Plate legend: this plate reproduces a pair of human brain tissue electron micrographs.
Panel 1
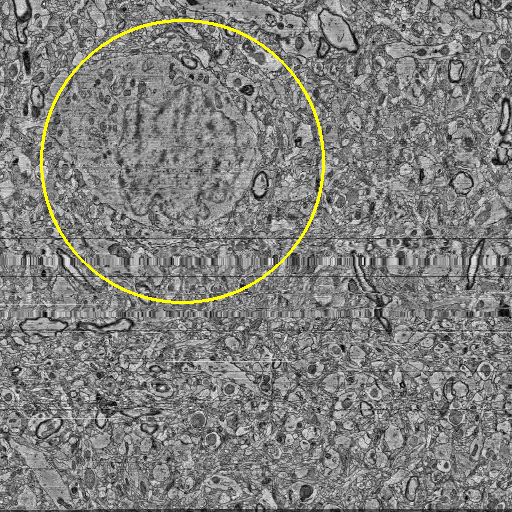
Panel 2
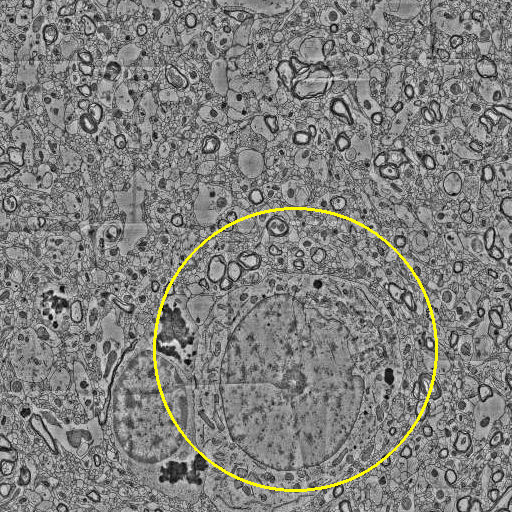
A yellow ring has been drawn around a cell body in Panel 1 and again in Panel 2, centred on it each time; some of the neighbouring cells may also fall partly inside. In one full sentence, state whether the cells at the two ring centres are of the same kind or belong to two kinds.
The ring-centred cells of Panel 1 and Panel 2 are of the same kind.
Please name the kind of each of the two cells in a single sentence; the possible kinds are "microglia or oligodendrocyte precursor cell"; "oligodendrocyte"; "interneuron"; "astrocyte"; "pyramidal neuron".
Each of the ringed cells, first and second, is an interneuron.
